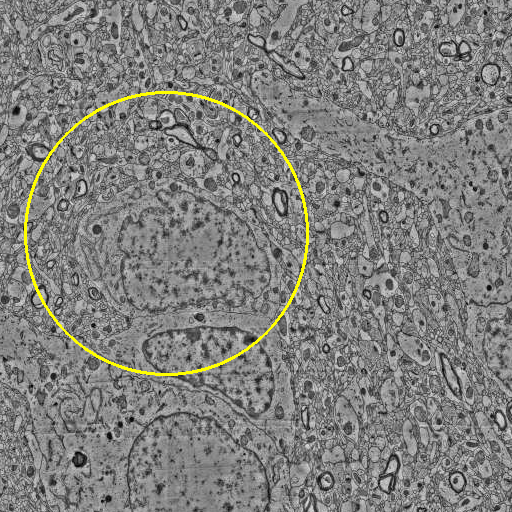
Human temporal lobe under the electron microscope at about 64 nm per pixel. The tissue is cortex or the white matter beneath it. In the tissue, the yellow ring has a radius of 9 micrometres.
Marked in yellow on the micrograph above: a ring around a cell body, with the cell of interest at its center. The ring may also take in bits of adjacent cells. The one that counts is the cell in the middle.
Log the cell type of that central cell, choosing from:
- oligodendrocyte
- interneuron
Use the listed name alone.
interneuron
